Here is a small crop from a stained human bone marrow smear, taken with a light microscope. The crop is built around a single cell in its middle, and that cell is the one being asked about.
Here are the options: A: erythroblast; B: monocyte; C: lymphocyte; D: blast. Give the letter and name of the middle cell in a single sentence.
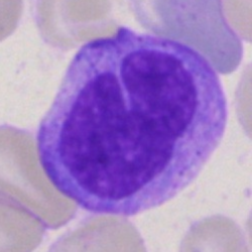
The one to choose is option B, as the cell in the middle is a monocyte.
